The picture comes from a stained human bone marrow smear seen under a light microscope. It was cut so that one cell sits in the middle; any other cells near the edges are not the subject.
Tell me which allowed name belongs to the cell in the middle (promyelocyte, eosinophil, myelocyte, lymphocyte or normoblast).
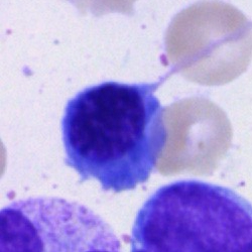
normoblast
